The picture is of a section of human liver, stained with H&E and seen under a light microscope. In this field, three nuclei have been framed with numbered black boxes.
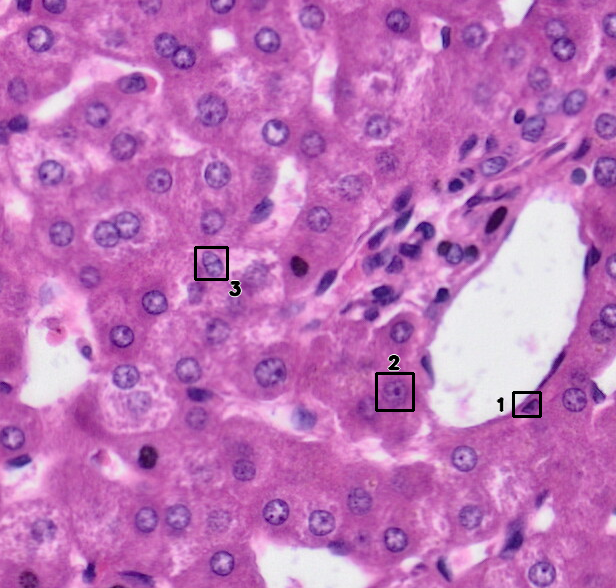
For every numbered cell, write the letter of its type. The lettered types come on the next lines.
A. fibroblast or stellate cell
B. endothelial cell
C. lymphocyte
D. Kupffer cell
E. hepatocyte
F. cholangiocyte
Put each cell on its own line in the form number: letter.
1: A
2: E
3: F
